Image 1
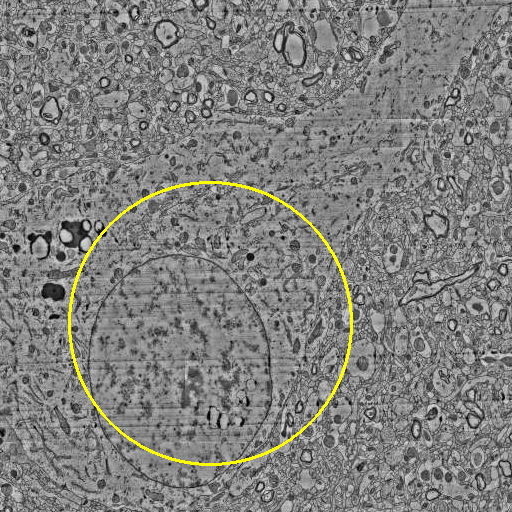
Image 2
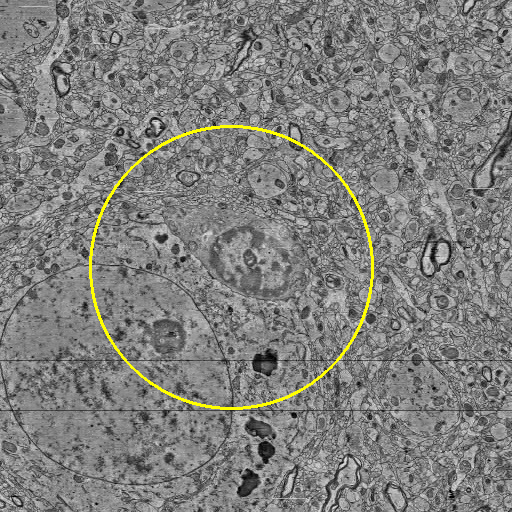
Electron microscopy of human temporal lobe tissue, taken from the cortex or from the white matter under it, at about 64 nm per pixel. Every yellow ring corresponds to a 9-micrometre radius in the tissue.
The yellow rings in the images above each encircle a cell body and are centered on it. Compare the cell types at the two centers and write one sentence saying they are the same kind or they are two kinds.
Taken together, the two cells at the ring centers are two kinds.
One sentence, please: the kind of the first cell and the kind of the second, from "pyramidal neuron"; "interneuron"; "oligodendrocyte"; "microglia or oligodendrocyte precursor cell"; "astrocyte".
The ring in the first picture surrounds a pyramidal neuron, and the ring in the second surrounds an oligodendrocyte.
